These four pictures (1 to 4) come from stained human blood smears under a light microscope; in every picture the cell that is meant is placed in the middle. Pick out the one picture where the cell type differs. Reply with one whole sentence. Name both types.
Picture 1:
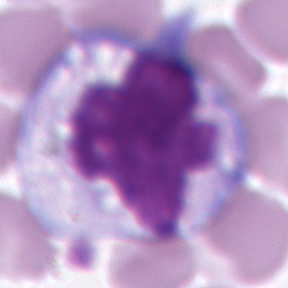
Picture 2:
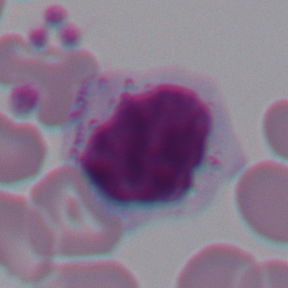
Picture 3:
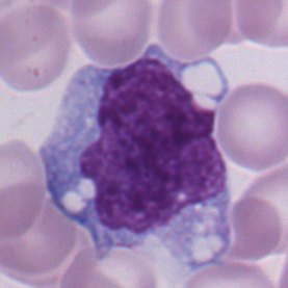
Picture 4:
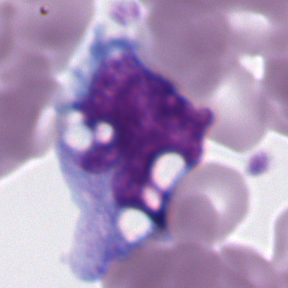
Picture 2 differs, because its cell is a large granular lymphocyte and the rest are monocytes.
